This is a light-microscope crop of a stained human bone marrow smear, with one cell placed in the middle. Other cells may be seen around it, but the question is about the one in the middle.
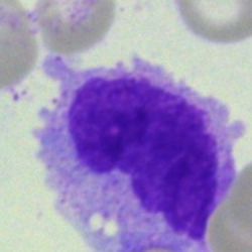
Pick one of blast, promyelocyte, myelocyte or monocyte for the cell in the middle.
monocyte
